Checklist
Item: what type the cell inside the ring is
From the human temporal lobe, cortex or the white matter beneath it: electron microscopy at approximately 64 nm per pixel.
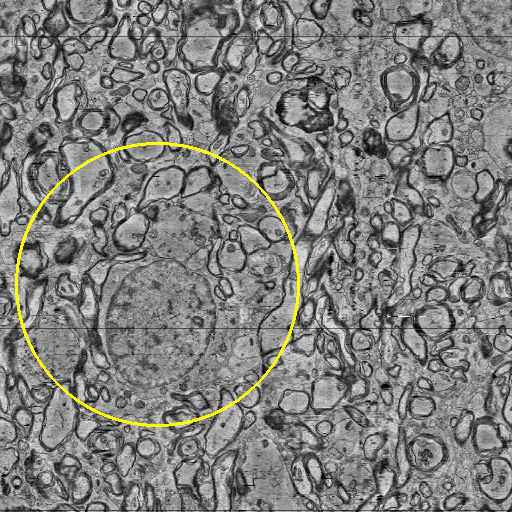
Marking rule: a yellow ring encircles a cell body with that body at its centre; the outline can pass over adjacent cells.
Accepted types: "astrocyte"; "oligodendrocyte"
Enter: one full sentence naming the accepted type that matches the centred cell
The entry is that an oligodendrocyte lies at the centre of the yellow ring.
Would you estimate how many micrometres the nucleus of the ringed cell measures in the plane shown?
Roughly 9 micrometres by 7 micrometres, in this plane.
